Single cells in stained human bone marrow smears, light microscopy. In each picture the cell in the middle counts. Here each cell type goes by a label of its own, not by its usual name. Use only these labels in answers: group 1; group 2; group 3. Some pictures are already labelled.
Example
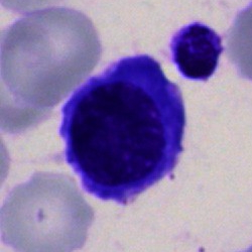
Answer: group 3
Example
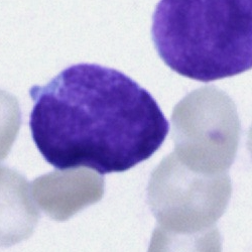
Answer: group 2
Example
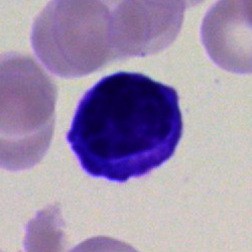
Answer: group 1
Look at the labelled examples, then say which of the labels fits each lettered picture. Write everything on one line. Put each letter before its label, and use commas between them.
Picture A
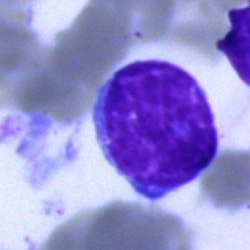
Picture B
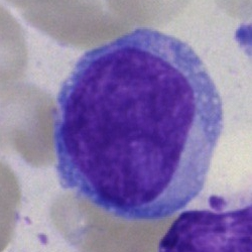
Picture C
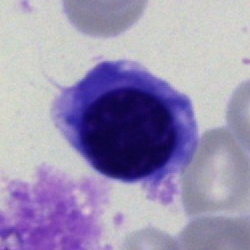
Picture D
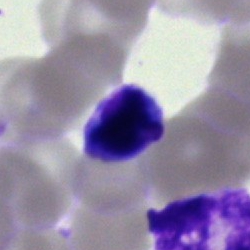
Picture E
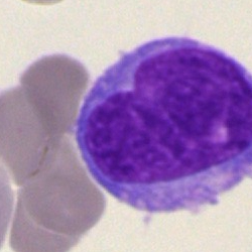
A group 1, B group 2, C group 3, D group 1, E group 2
